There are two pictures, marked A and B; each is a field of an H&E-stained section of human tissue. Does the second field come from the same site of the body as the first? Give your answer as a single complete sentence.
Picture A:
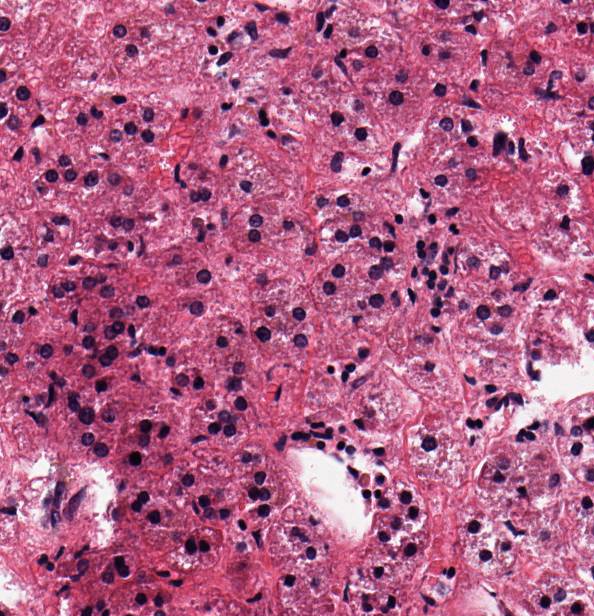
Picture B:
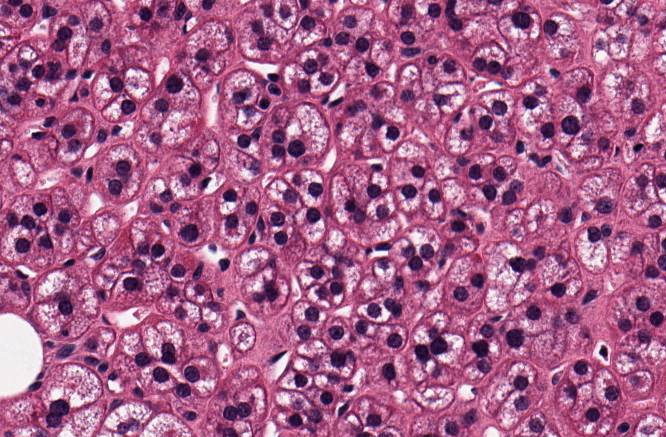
Yes; both pictures come from the adrenal gland.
